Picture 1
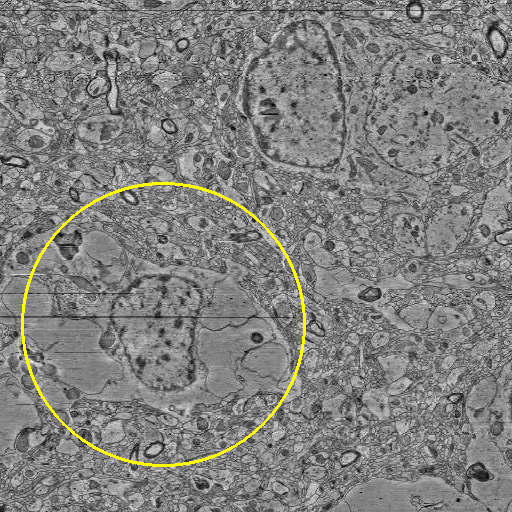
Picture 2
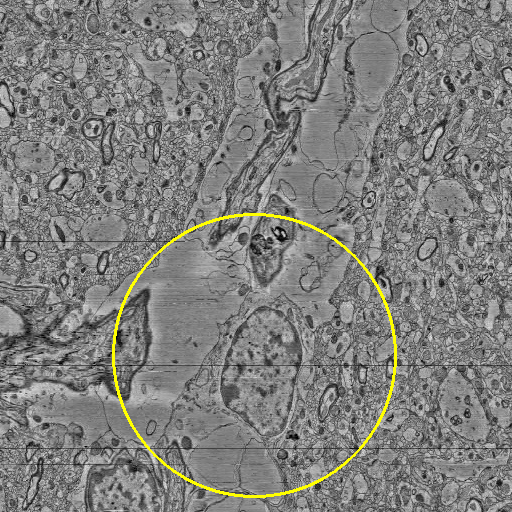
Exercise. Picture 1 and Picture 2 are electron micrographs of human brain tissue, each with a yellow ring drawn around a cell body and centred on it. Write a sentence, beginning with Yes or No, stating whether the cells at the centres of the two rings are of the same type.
No, the cells at the centres of the rings are of two types.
